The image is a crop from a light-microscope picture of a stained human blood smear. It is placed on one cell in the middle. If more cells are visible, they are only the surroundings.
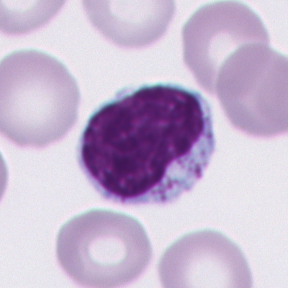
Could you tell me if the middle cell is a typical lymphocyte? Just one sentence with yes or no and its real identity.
No, the cell in the middle is categorised as a large granular lymphocyte, not a typical lymphocyte.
